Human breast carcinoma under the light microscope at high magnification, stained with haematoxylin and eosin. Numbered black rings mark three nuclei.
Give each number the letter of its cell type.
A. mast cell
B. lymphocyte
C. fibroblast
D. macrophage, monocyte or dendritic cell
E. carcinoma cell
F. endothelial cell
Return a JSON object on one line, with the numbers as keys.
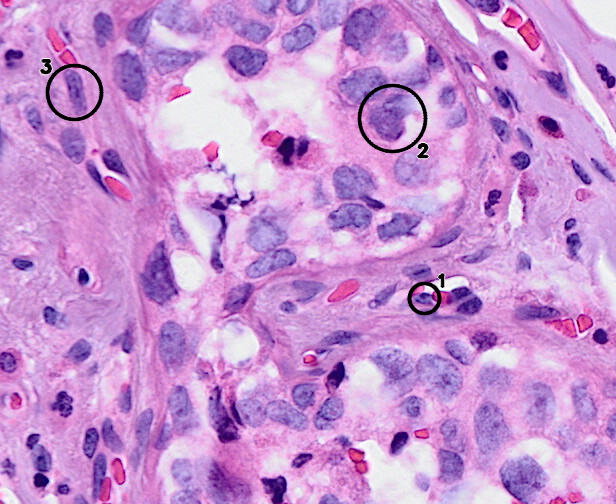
{"1": "F", "2": "E", "3": "F"}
